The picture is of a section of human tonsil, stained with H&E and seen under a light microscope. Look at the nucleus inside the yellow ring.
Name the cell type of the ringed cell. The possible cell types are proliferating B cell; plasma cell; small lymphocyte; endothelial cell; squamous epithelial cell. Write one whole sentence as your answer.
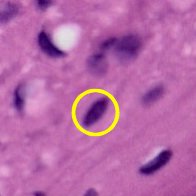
In this section, the ringed cell is a squamous epithelial cell.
